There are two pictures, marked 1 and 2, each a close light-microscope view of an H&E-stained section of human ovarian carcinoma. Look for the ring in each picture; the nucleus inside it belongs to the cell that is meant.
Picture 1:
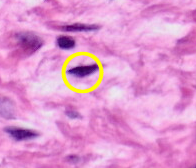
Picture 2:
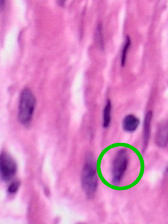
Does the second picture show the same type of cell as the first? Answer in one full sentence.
Yes, the two pictures both show fibroblasts.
